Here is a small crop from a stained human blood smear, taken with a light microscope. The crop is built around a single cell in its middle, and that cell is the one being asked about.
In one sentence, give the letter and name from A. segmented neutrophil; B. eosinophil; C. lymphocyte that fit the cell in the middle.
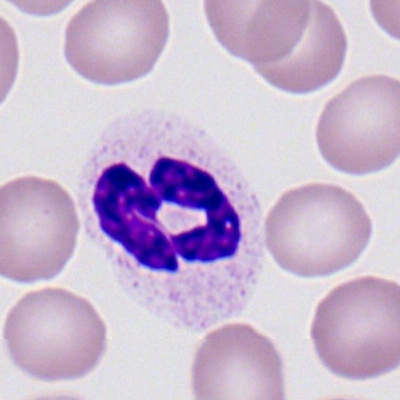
The cell in the middle is correctly identified as a segmented neutrophil in option A.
